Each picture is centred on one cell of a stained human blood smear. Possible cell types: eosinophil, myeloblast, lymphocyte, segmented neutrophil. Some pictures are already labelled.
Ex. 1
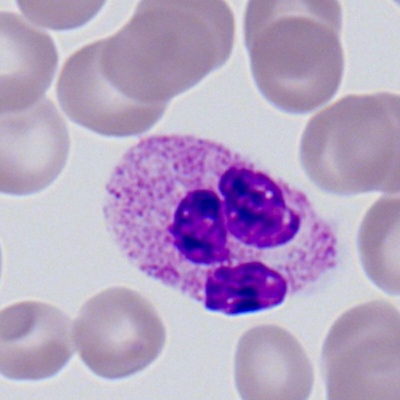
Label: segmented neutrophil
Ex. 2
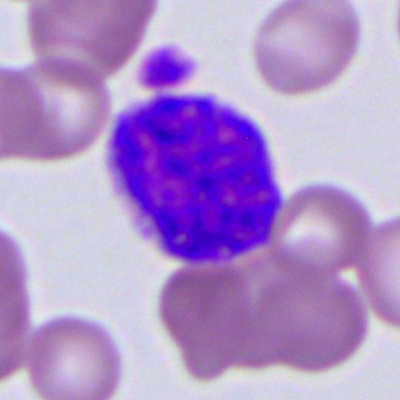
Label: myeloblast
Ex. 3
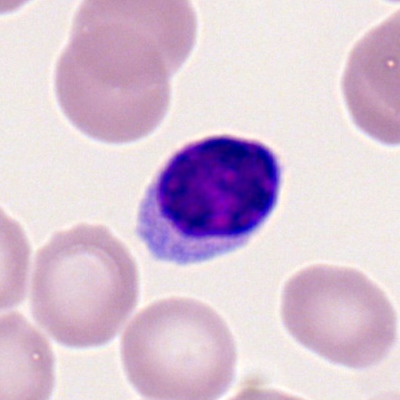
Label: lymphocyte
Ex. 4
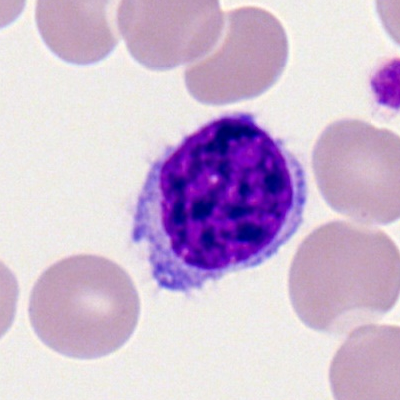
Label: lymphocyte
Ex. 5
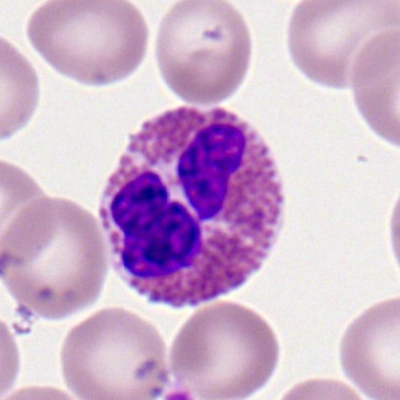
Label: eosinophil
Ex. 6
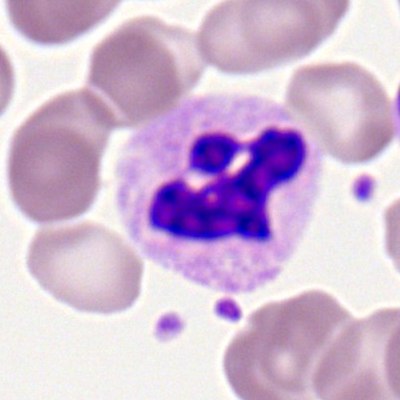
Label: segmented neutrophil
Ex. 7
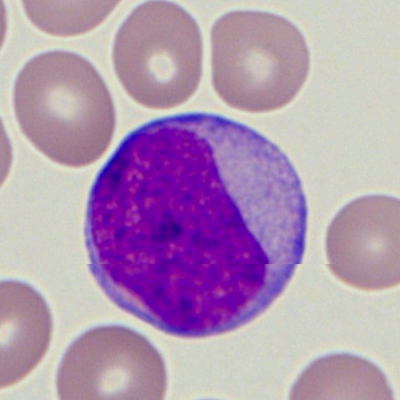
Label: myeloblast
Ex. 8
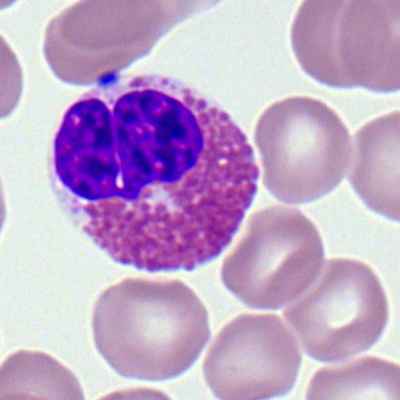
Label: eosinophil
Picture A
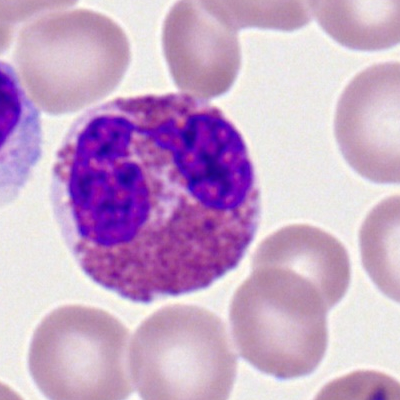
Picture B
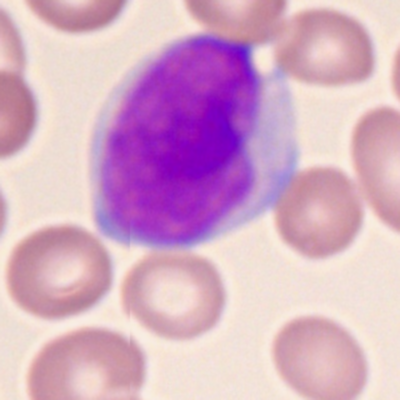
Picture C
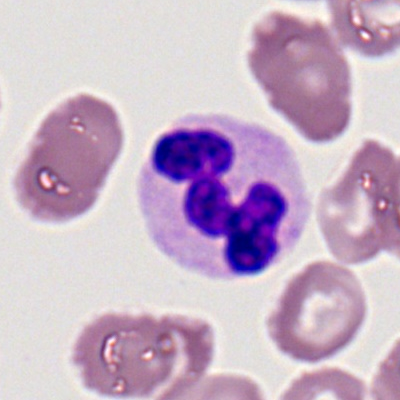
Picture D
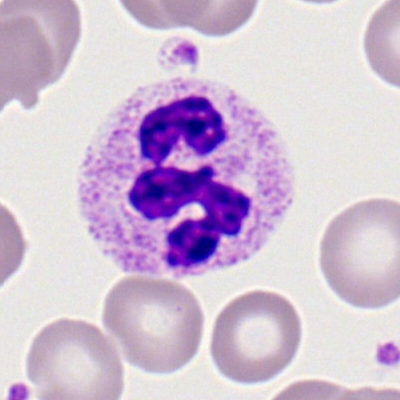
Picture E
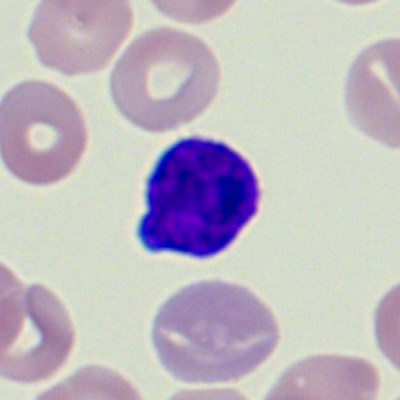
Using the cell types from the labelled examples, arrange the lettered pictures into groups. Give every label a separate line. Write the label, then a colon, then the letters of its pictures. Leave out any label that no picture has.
eosinophil: A
myeloblast: B
lymphocyte: E
segmented neutrophil: C, D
